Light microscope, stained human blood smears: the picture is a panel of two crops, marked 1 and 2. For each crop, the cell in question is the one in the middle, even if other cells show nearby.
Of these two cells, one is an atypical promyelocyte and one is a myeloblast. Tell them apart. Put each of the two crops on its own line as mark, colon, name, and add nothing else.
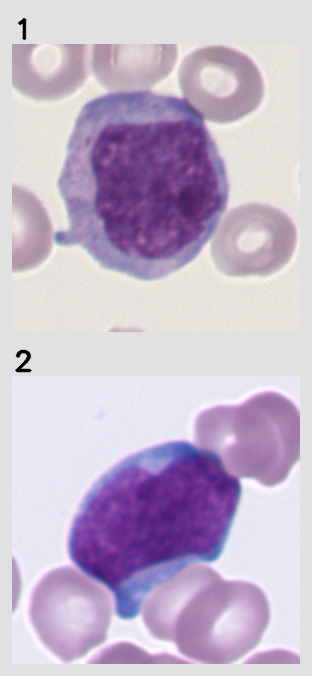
1: atypical promyelocyte
2: myeloblast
